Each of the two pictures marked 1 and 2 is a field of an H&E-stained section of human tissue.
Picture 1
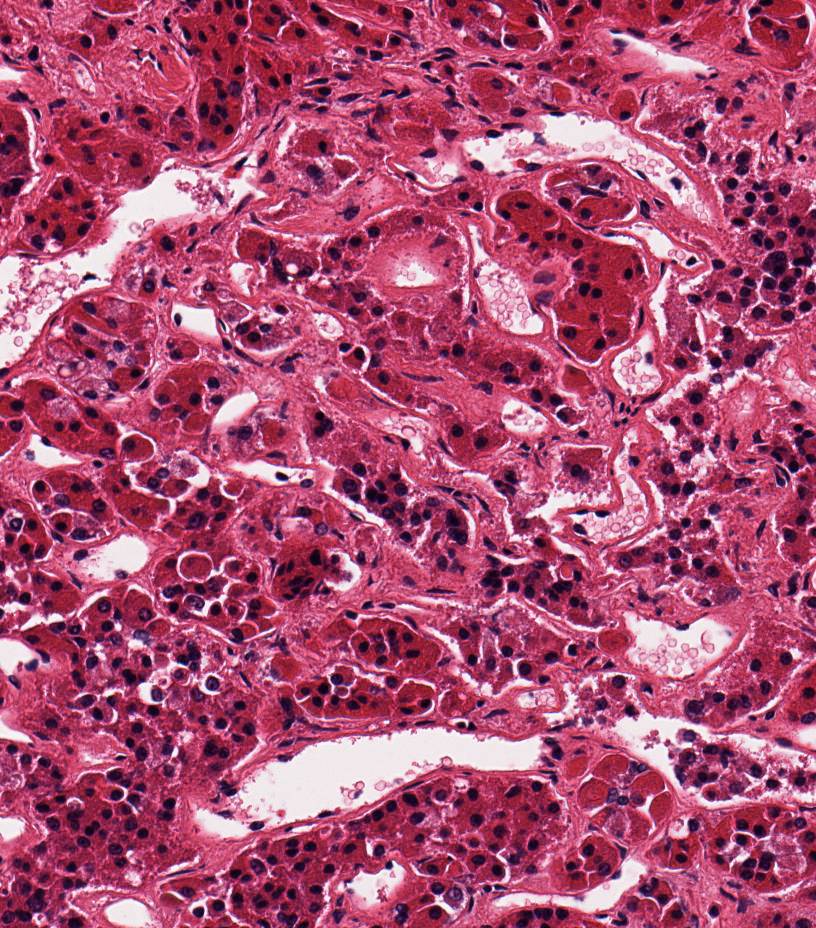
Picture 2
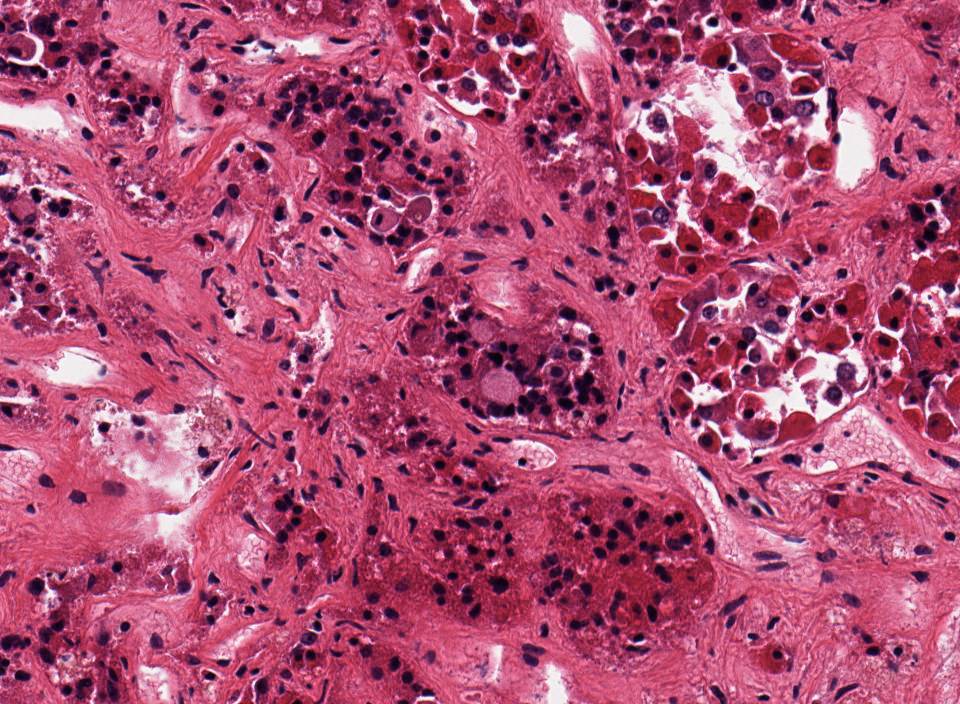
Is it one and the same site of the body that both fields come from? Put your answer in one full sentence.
Yes; both pictures come from the pituitary.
